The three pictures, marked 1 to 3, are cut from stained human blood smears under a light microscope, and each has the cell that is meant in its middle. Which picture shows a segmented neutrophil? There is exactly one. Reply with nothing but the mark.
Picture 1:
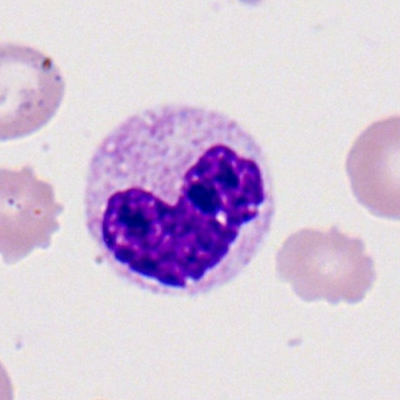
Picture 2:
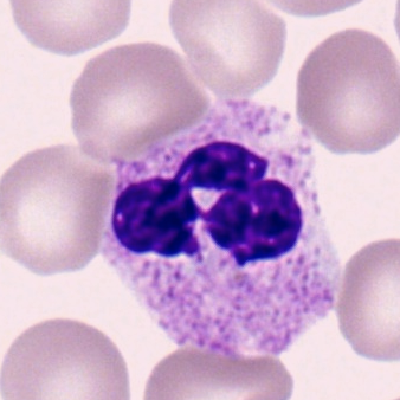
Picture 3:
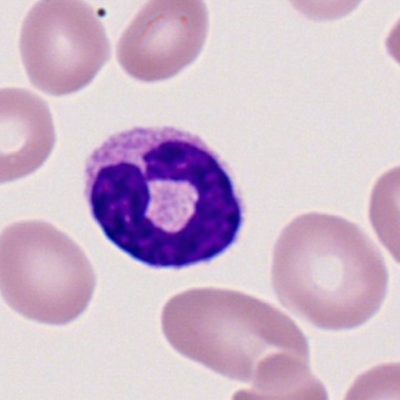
2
